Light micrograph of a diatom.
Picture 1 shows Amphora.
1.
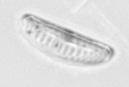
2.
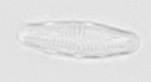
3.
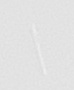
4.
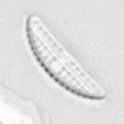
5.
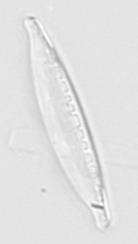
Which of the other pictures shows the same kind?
Picture 4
